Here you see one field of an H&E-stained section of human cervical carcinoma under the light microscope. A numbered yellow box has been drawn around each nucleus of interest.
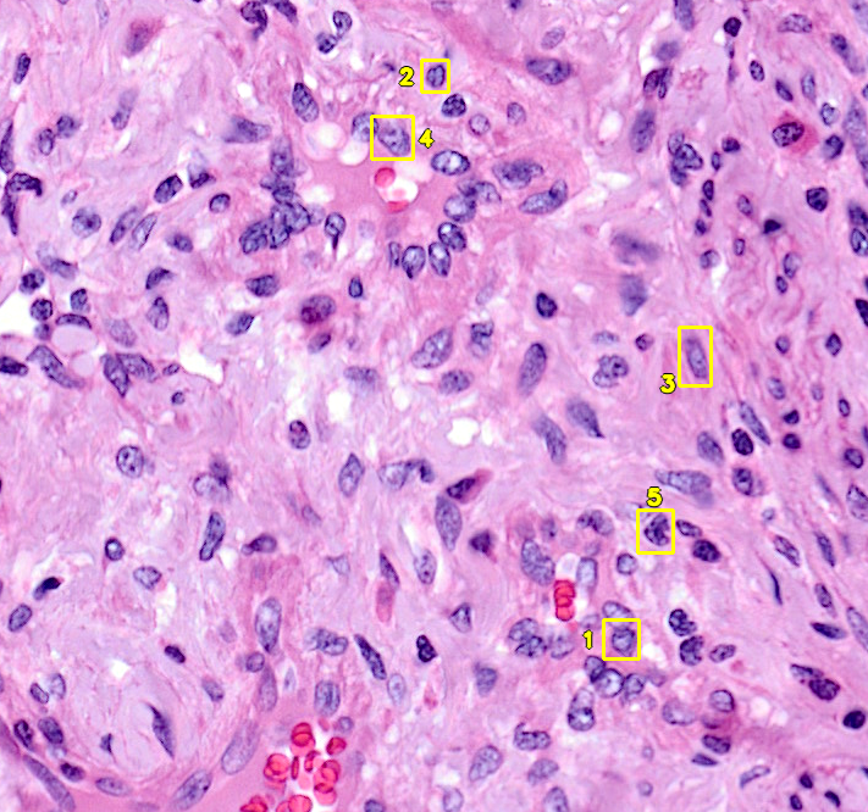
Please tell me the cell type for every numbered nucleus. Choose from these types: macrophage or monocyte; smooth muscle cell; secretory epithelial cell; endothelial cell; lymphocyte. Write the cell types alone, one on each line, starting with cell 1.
endothelial cell
smooth muscle cell
smooth muscle cell
endothelial cell
lymphocyte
